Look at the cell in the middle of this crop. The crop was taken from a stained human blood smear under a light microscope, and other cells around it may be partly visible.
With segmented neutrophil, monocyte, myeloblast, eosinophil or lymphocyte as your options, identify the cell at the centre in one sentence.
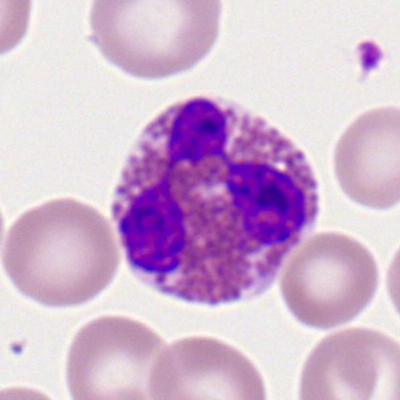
This crop's central cell is an eosinophil.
